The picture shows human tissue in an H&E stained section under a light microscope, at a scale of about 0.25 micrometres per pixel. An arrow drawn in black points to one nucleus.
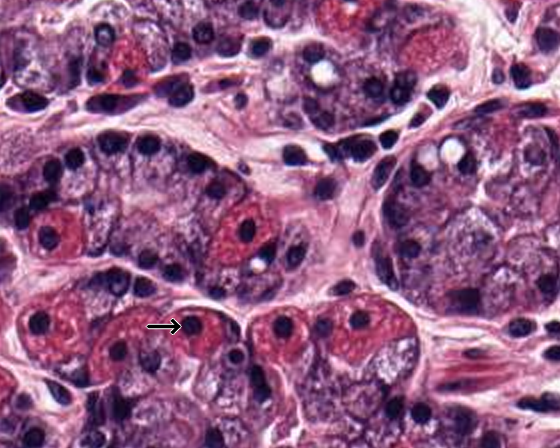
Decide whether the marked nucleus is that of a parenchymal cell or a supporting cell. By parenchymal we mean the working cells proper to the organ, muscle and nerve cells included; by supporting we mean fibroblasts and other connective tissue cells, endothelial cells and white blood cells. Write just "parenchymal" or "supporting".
parenchymal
